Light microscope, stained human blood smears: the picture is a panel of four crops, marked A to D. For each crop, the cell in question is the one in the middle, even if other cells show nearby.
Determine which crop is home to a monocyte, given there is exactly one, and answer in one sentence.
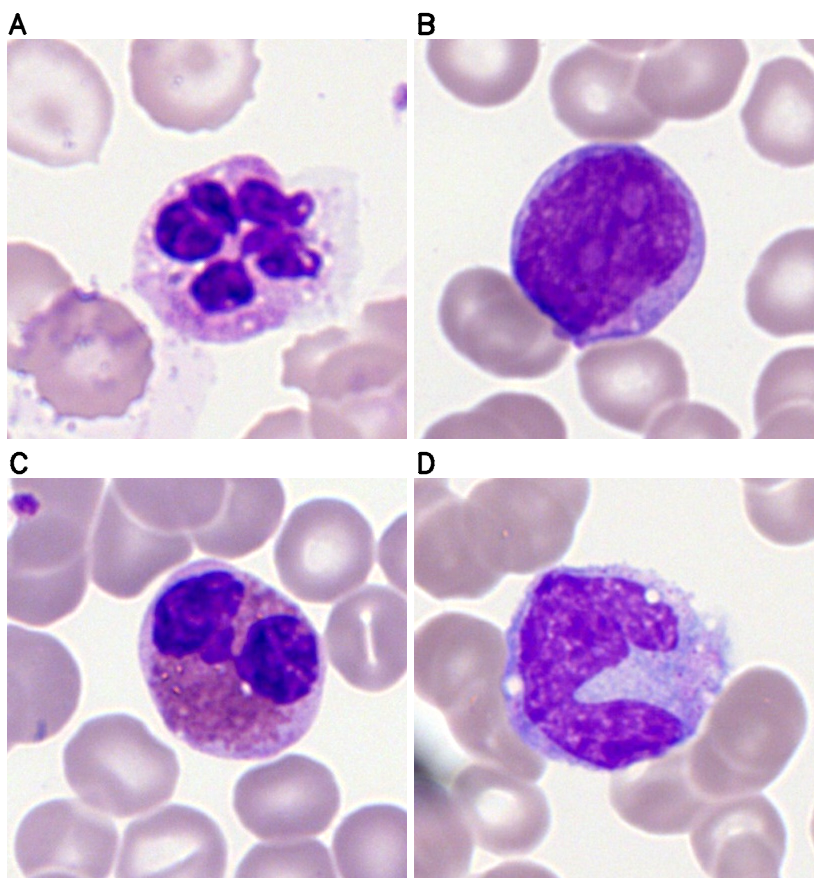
The crop that has a monocyte in the middle is crop D.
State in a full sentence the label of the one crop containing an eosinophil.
Look at crop C; that is the one with an eosinophil in its center.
